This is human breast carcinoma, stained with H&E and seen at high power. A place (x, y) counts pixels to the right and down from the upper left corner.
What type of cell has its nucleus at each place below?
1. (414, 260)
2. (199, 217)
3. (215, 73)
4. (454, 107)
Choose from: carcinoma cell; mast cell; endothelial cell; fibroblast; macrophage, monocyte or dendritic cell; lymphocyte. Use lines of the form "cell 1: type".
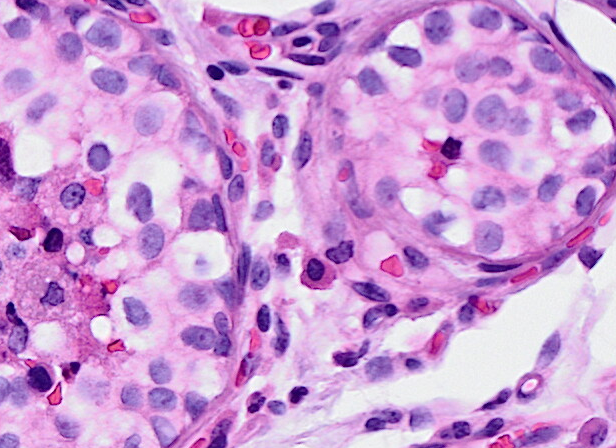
cell 1: endothelial cell
cell 2: carcinoma cell
cell 3: lymphocyte
cell 4: carcinoma cell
